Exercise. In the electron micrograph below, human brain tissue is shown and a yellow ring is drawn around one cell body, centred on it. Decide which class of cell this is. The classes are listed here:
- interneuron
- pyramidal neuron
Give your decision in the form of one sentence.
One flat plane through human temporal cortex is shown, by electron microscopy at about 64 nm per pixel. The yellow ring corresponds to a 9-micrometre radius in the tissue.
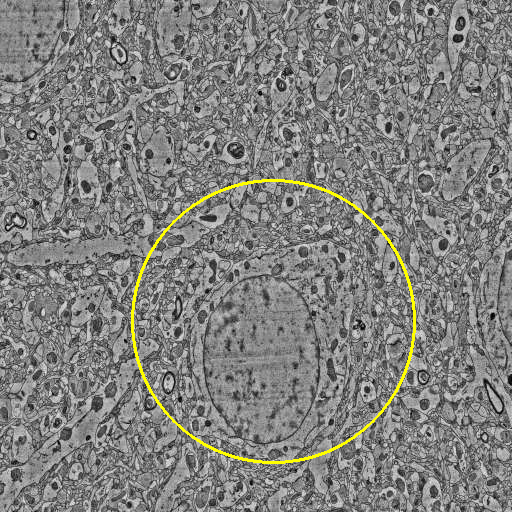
The cell body marked by the ring belongs to a pyramidal neuron.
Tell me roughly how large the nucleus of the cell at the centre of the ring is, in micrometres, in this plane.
In this plane, approximately 11 by 8 micrometers.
